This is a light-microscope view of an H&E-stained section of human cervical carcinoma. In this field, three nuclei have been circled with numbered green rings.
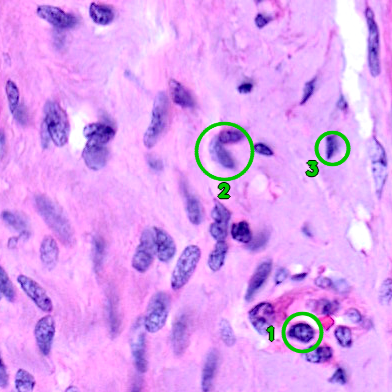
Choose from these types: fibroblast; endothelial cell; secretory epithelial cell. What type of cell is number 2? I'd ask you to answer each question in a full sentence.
As for number 2, that cell is a fibroblast.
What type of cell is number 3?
The cell that is numbered 3 is a fibroblast.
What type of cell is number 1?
Cell 1 is classified as an endothelial cell.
